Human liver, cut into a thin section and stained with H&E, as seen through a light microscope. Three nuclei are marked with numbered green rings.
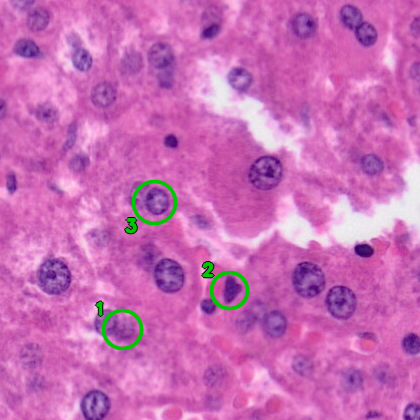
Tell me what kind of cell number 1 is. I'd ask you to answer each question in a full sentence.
Heads up, the cell numbered 1 is a hepatocyte.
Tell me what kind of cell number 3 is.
The nucleus labeled 3 belongs to a hepatocyte.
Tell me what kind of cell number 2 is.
Number 2 among the marked cells is a fibroblast or stellate cell.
